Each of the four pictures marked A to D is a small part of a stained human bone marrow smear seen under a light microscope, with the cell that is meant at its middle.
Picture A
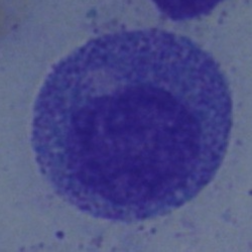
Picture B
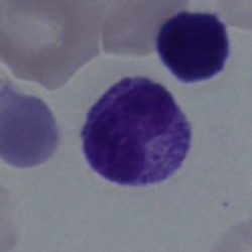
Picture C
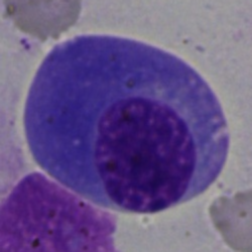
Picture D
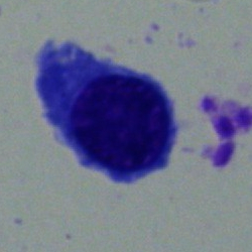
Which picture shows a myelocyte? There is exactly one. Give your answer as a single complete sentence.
Picture A is the one that shows the myelocyte.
